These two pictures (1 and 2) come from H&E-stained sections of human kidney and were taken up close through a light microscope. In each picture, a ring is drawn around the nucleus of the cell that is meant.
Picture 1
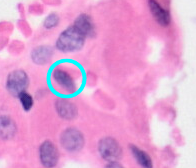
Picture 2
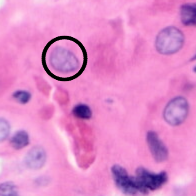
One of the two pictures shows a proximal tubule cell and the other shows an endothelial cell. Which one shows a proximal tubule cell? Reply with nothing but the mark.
2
